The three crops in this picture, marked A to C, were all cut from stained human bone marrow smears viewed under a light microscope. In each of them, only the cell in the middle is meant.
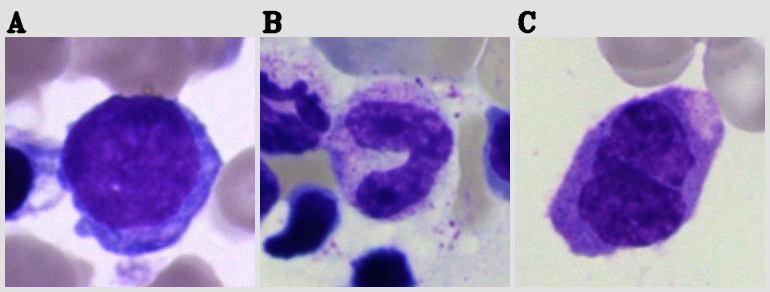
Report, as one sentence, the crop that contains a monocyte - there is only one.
Crop C is the one in the set with a monocyte at the center.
